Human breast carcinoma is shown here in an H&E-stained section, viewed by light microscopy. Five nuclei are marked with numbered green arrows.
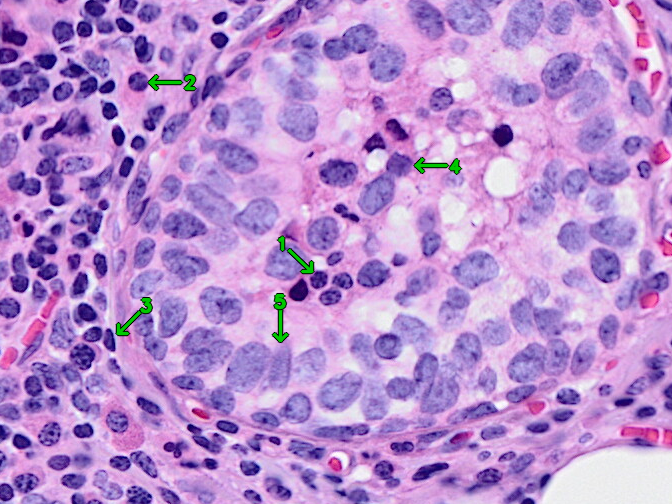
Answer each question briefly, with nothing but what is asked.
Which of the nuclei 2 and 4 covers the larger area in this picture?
4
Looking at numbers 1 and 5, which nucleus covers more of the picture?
5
